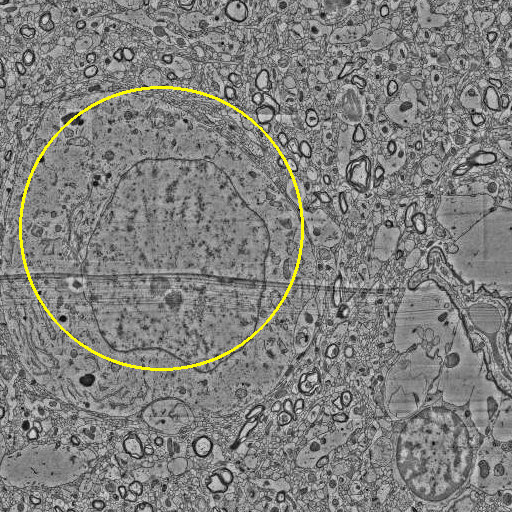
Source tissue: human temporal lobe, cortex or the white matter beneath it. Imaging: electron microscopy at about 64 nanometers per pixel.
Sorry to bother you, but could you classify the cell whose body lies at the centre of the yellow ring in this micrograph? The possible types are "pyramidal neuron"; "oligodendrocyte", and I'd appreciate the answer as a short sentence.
The ringed cell body is that of a pyramidal neuron.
